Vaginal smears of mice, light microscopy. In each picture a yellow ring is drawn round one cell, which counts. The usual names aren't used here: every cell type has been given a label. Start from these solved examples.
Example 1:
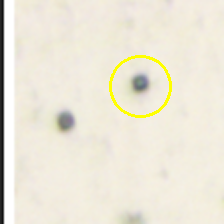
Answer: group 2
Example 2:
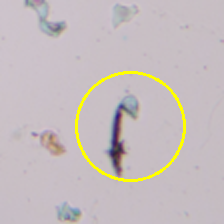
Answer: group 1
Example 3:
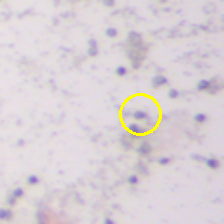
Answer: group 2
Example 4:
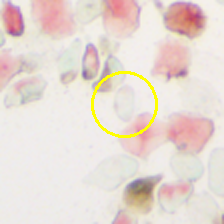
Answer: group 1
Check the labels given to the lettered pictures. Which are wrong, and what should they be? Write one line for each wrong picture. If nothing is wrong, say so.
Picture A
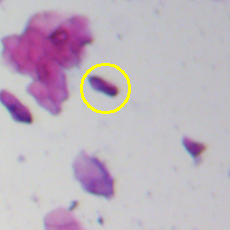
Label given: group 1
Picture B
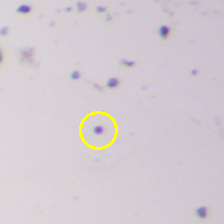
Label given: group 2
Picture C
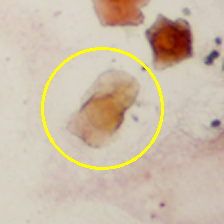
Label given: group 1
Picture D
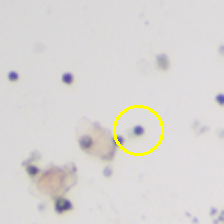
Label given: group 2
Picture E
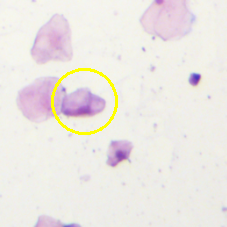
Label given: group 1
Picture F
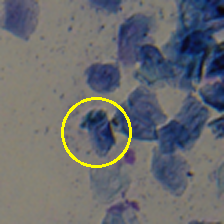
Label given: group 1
None of the labels needs changing.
